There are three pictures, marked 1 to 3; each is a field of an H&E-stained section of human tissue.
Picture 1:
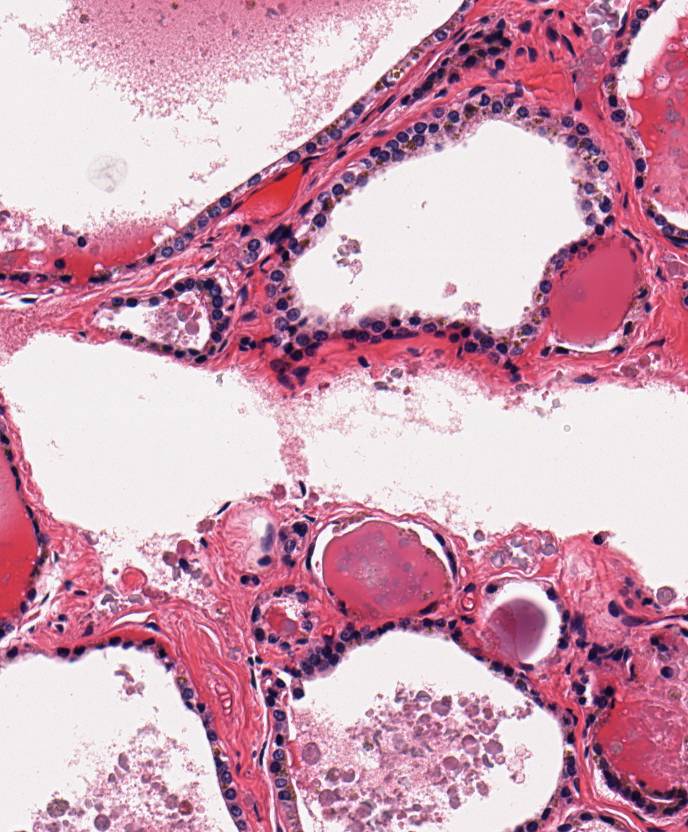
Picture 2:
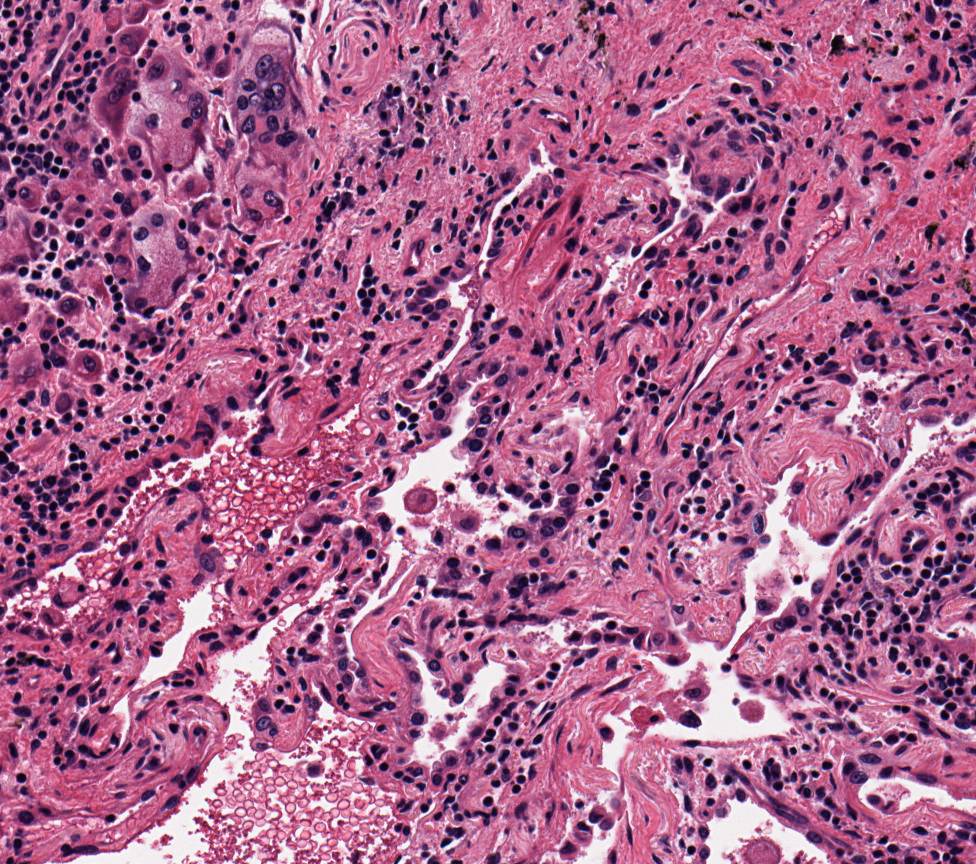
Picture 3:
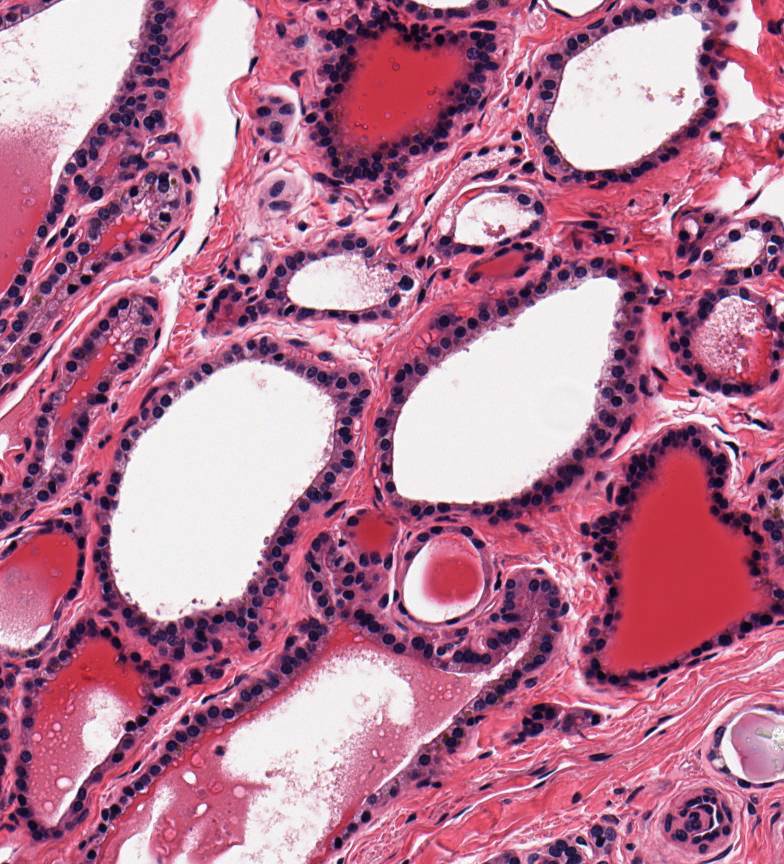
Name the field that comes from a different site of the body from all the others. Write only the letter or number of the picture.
2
